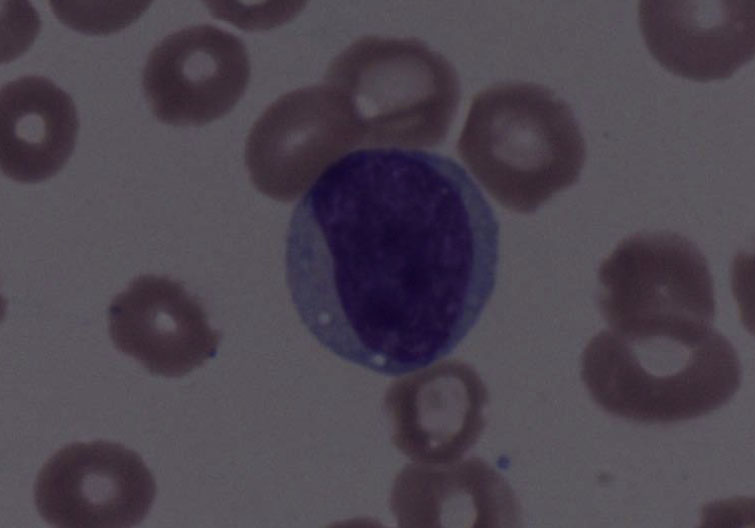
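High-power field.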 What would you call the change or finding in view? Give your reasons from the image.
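Peripheral vacuolation. Small clear round spots lie in the pale blue cytoplasm near the cell's edge. The spots sit at the rim of the cell, beside the nucleus.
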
